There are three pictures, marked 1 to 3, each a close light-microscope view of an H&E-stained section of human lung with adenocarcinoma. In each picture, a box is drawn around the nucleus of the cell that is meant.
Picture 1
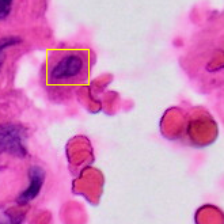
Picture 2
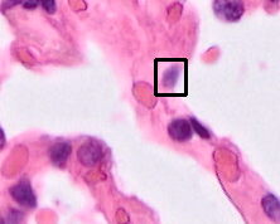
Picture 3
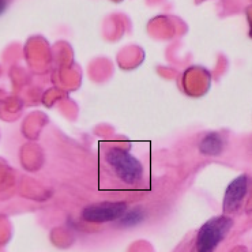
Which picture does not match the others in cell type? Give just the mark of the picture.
1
